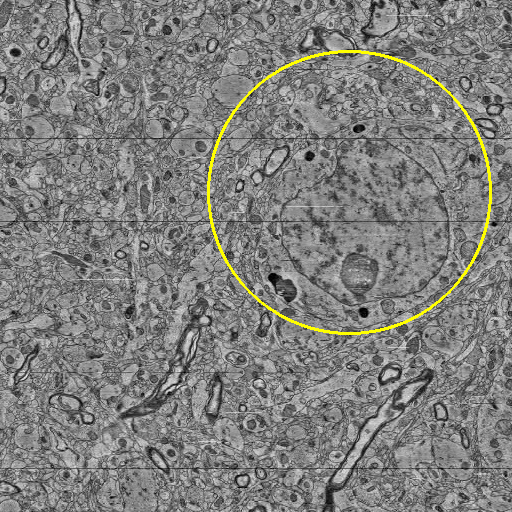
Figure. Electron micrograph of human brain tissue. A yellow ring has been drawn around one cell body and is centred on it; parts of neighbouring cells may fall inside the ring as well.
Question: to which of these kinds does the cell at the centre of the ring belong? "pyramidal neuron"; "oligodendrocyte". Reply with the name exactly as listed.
pyramidal neuron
